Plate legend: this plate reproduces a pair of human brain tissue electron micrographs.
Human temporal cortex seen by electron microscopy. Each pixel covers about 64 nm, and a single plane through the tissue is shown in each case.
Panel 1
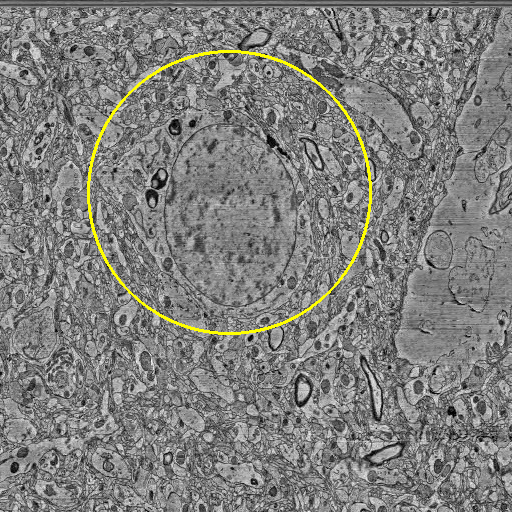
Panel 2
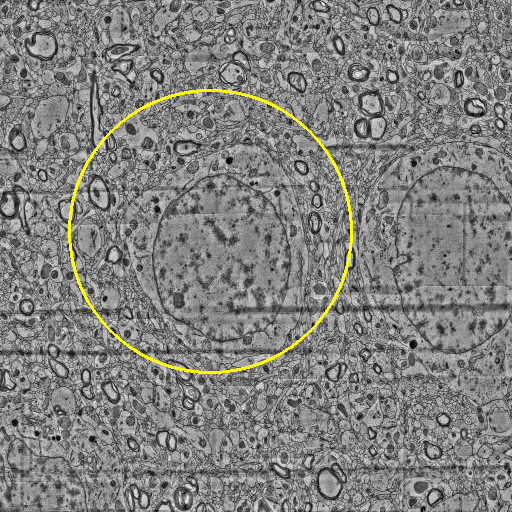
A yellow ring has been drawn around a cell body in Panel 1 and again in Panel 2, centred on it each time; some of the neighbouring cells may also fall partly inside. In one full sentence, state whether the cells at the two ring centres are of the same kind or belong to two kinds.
The ring-centred cells of Panel 1 and Panel 2 are of the same kind.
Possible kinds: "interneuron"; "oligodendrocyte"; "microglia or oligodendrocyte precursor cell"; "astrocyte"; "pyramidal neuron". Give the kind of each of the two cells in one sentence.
Each cell, in the first picture and the second, is a pyramidal neuron.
